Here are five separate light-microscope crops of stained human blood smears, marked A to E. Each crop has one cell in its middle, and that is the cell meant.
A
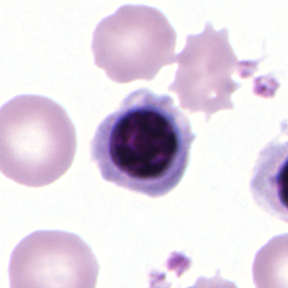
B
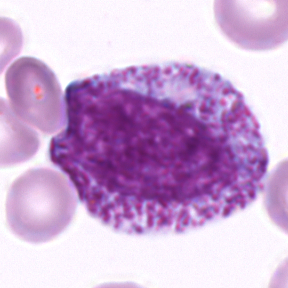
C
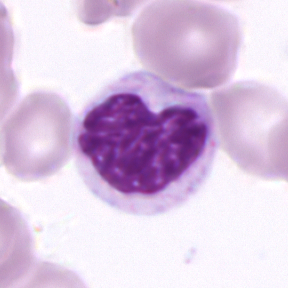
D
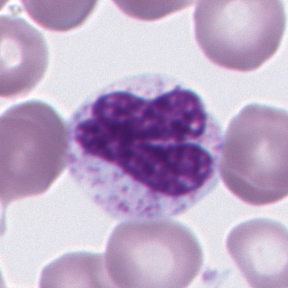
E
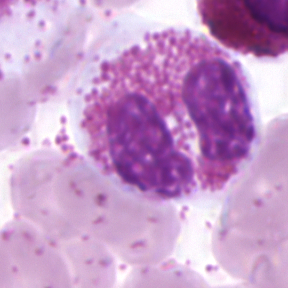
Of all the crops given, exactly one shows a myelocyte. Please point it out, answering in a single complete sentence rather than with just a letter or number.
Among the crops given, only crop B shows a myelocyte.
